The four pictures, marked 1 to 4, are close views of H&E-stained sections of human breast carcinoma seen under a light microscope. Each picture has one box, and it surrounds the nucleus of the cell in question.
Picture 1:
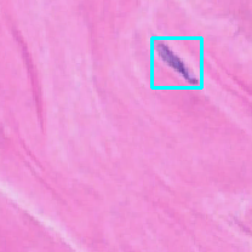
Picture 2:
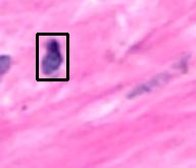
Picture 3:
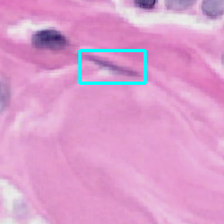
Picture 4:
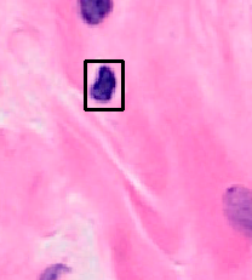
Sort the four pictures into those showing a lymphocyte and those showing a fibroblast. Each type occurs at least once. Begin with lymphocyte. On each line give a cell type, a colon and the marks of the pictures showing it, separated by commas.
lymphocyte: 2, 4
fibroblast: 1, 3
